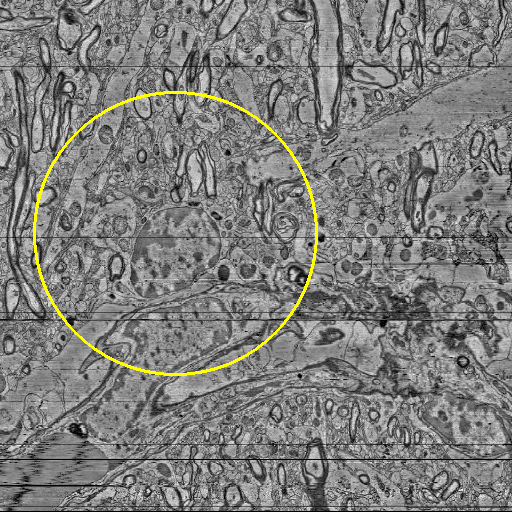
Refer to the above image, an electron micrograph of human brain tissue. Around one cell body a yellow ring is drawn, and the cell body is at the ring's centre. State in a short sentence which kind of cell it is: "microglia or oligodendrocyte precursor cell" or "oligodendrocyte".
The centre of the ring falls on a microglial cell or oligodendrocyte precursor cell.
